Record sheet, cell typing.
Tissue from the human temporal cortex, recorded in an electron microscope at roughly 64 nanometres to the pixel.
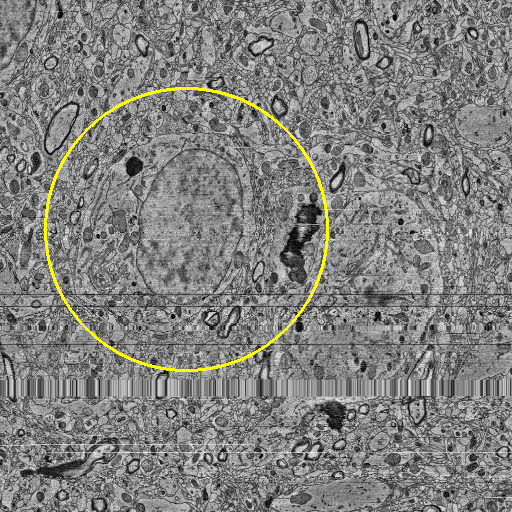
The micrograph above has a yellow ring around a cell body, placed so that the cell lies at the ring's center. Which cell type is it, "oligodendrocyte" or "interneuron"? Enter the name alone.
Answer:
interneuron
